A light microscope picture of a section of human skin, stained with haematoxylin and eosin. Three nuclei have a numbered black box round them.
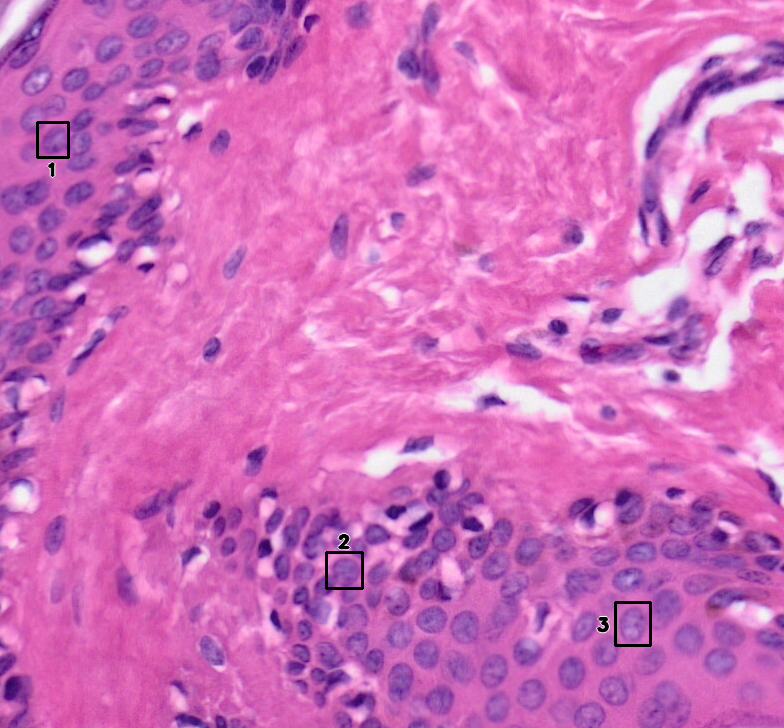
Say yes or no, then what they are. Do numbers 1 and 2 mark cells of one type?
No, cell 1 is a suprabasal keratinocyte and cell 2 is a basal keratinocyte.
